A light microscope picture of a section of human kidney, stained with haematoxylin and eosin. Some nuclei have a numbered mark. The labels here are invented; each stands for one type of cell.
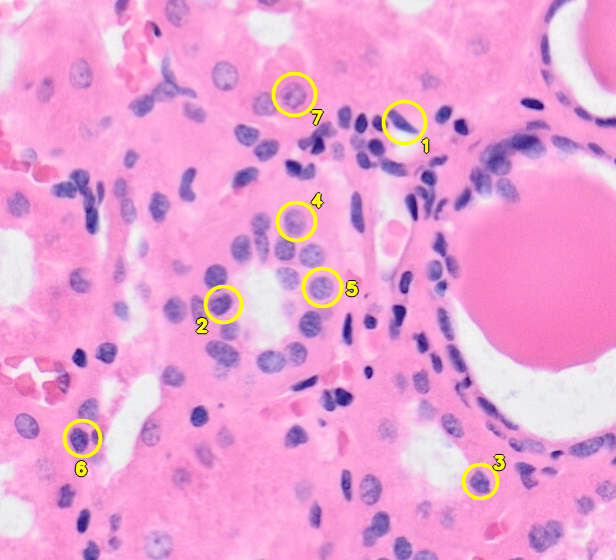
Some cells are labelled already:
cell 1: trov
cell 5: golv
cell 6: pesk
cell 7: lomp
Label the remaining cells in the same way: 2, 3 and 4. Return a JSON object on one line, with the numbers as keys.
{"2": "golv", "3": "pesk", "4": "golv"}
